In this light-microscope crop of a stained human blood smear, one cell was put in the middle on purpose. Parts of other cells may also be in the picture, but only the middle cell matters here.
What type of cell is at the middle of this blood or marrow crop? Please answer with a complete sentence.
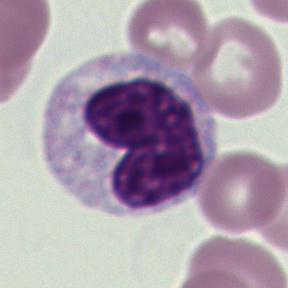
The central element of this crop is a cell, namely a band neutrophil.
